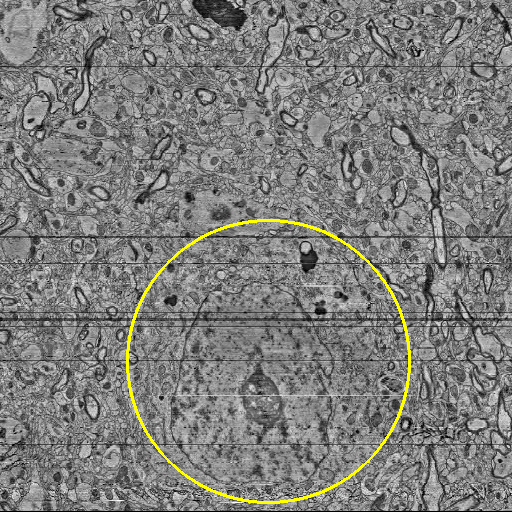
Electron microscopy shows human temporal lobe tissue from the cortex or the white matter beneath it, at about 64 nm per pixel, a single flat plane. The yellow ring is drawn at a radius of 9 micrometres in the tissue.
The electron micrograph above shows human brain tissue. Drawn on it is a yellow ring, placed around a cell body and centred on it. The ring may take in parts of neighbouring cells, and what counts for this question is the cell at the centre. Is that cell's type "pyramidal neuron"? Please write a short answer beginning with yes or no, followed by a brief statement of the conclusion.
Yes, its type is the one named.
